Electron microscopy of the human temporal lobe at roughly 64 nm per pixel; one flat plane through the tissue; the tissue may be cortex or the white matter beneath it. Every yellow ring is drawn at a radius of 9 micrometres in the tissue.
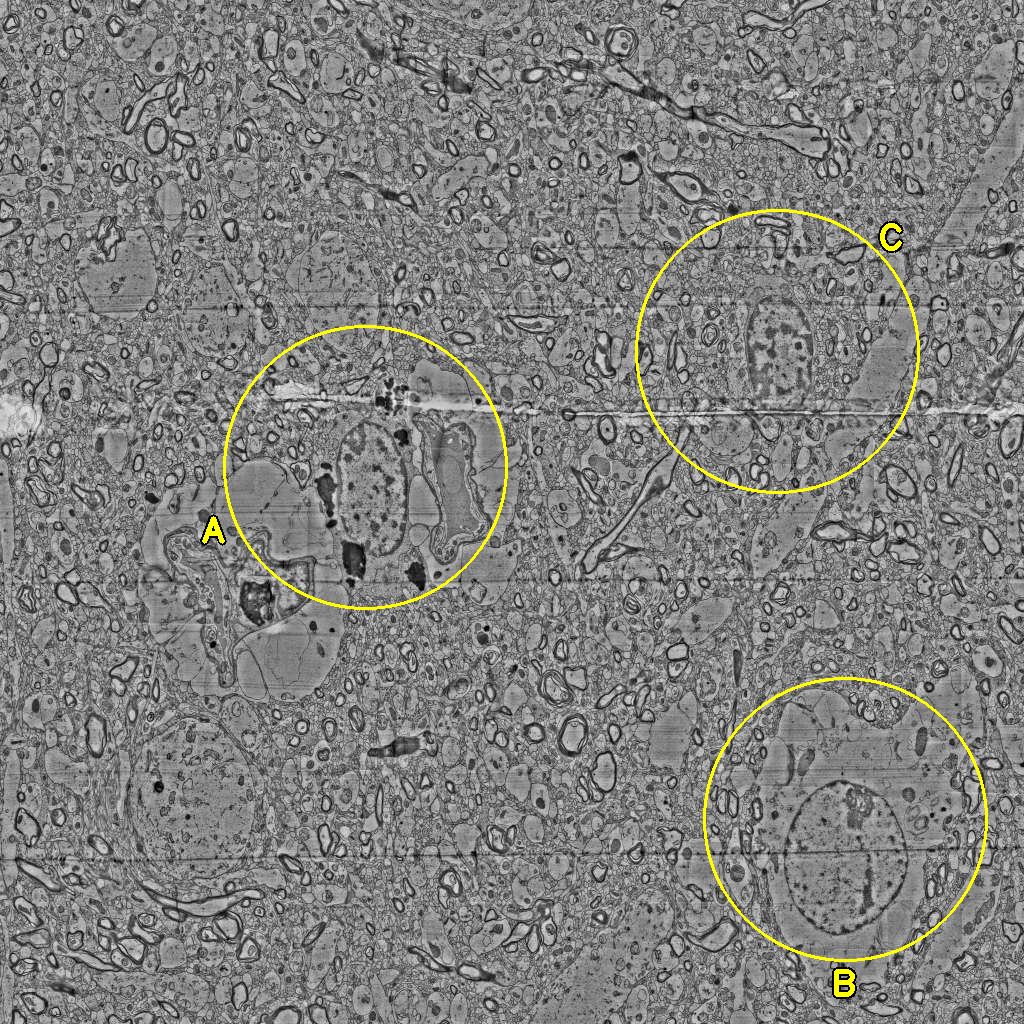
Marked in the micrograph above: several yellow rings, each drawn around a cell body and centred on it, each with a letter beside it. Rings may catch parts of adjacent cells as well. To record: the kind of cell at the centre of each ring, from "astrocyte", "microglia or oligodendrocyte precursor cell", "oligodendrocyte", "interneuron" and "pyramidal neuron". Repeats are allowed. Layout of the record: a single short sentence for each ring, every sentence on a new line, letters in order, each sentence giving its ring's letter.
At the centre of ring A lies an oligodendrocyte.
At the centre of ring B lies an astrocyte.
At the centre of ring C lies an oligodendrocyte.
